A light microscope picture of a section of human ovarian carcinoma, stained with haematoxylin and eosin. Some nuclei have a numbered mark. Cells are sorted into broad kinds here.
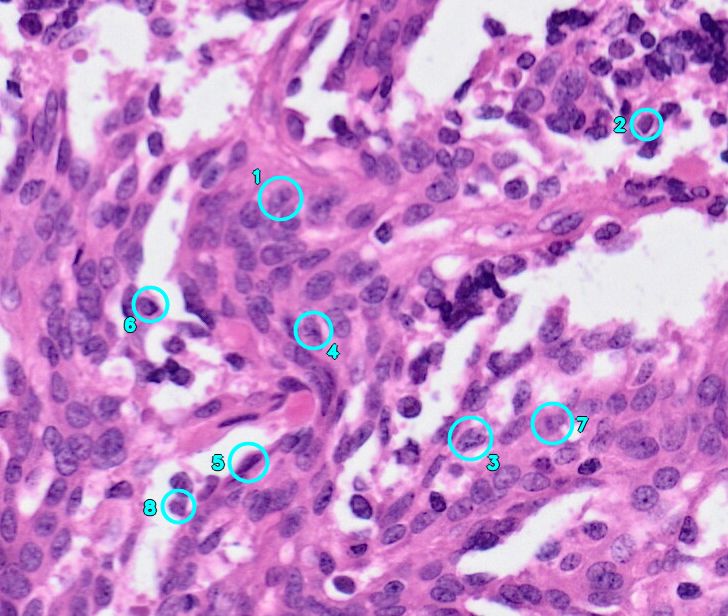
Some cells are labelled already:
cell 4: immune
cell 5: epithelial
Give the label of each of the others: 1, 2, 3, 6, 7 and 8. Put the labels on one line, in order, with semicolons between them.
epithelial; epithelial; immune; immune; epithelial; epithelial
